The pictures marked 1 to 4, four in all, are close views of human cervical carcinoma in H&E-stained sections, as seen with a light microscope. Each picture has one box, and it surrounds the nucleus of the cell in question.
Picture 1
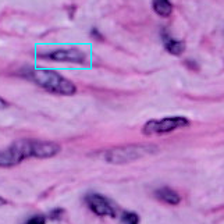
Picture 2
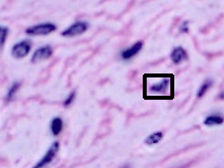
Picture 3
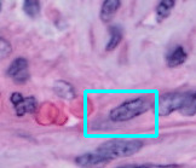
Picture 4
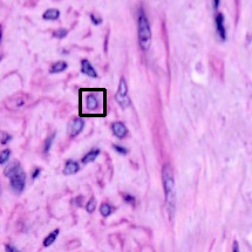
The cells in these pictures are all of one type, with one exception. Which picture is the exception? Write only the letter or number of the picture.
3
